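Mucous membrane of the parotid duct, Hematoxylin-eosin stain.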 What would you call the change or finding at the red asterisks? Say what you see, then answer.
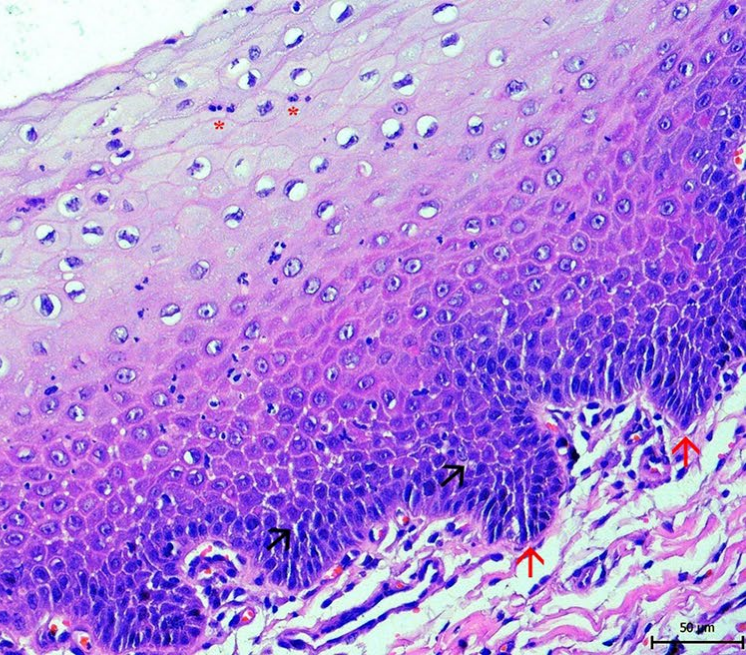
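Small dark lobed nuclei lie between the pale superficial epithelial cells near the asterisks. These small cells are much smaller than the surrounding epithelial cells.
Neutrophilic exocytosis.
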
